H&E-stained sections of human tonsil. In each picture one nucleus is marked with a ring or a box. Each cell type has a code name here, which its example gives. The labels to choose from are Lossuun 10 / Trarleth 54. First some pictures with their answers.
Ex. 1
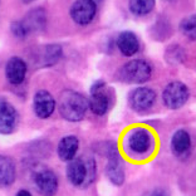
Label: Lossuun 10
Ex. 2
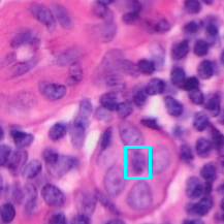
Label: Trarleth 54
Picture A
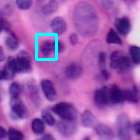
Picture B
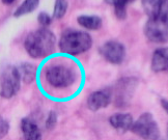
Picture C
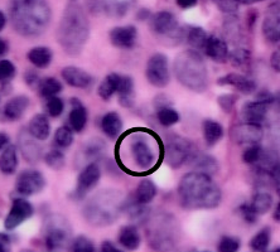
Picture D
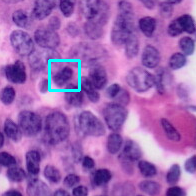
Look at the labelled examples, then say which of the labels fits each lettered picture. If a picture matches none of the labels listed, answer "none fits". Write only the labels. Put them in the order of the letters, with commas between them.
Trarleth 54, none fits, none fits, none fits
